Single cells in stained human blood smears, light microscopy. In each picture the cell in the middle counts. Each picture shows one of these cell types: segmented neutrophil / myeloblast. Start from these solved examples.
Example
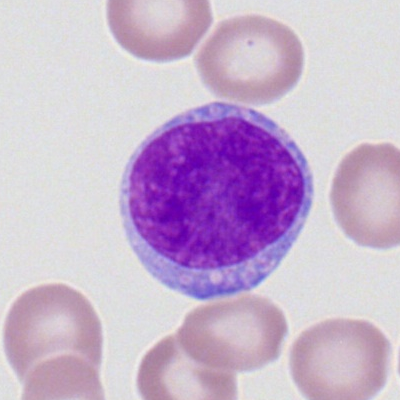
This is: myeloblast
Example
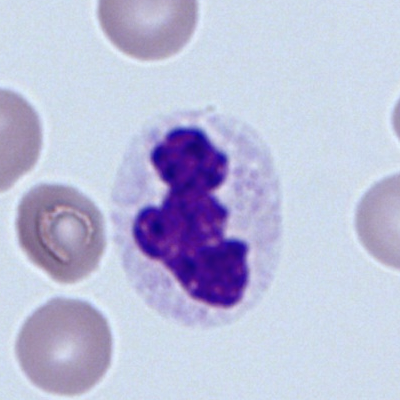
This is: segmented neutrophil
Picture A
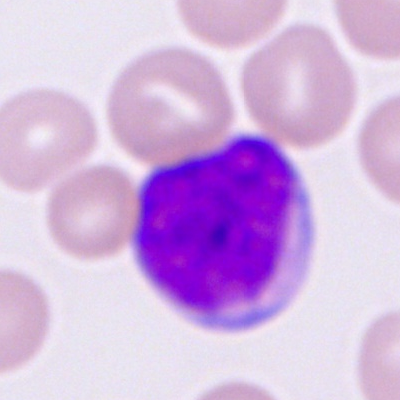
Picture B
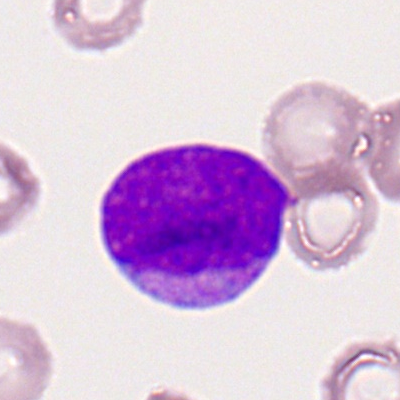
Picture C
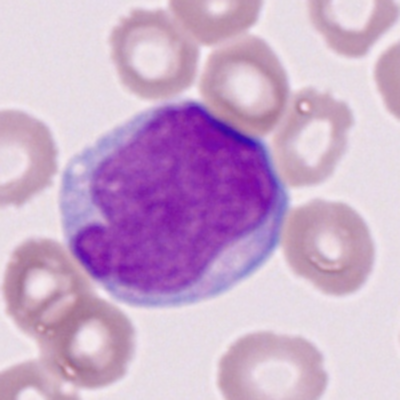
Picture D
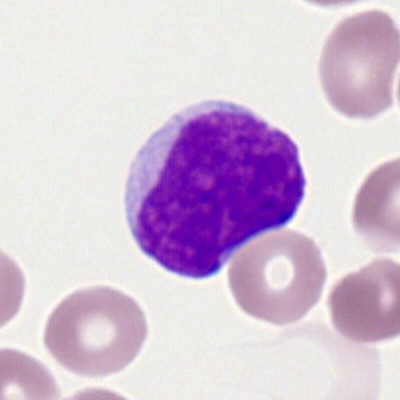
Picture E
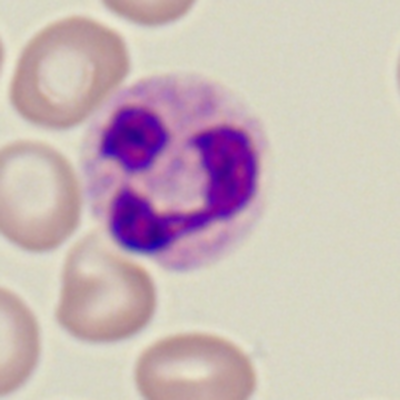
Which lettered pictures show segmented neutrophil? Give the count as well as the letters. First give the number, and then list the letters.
Count: 1 (E)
